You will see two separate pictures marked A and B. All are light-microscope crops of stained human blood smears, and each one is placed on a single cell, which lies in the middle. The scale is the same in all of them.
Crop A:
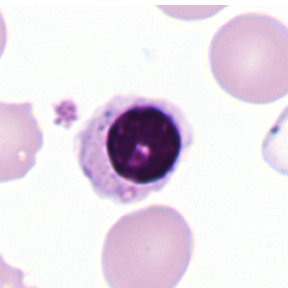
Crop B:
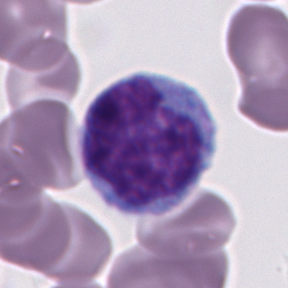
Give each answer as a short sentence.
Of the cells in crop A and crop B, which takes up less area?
The cell in crop A is smaller; the one in crop B has about 1.5 times its area.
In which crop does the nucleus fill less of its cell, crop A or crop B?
It is the cell in crop A that is filled less by its nucleus.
